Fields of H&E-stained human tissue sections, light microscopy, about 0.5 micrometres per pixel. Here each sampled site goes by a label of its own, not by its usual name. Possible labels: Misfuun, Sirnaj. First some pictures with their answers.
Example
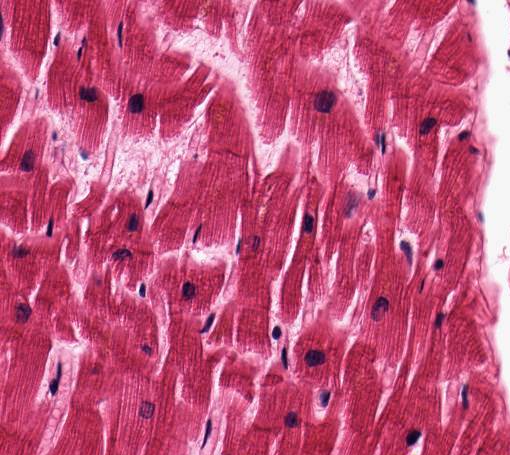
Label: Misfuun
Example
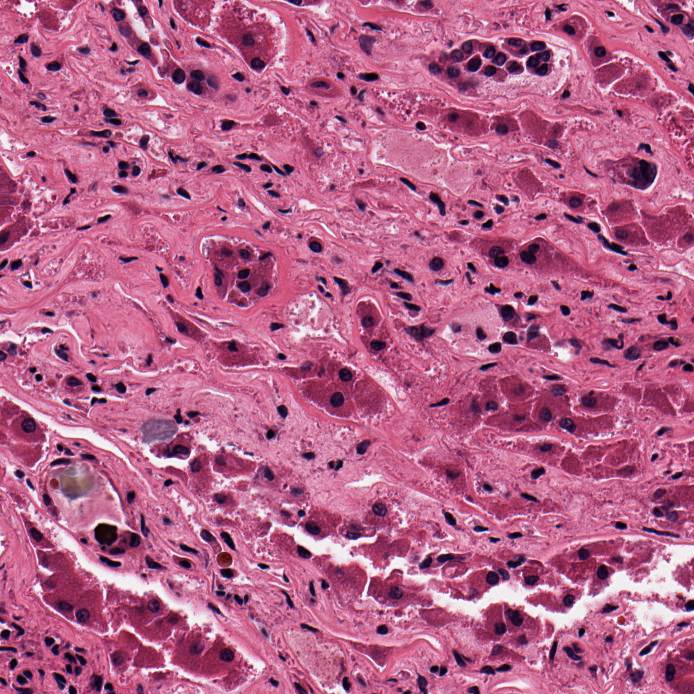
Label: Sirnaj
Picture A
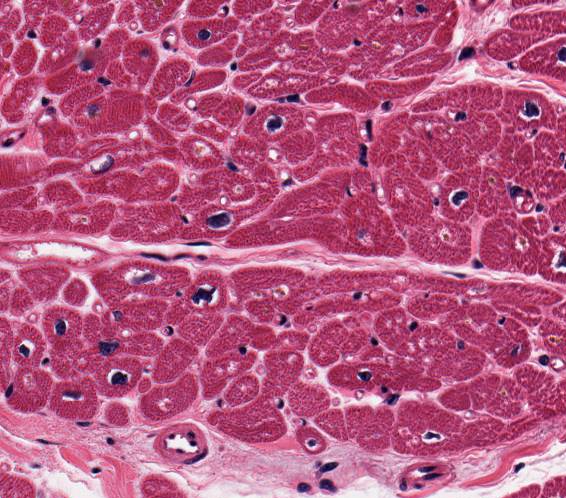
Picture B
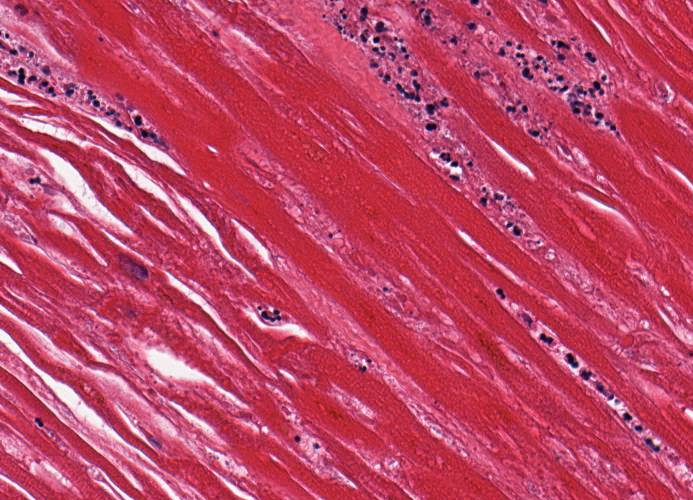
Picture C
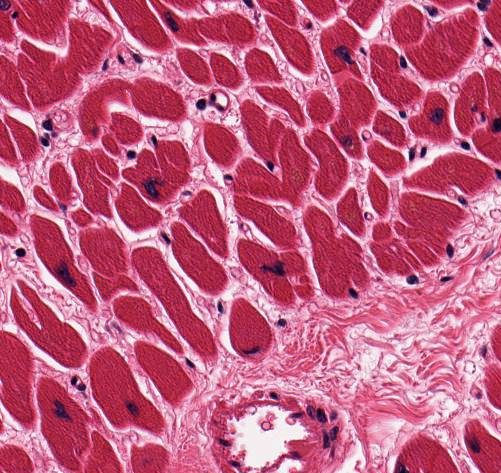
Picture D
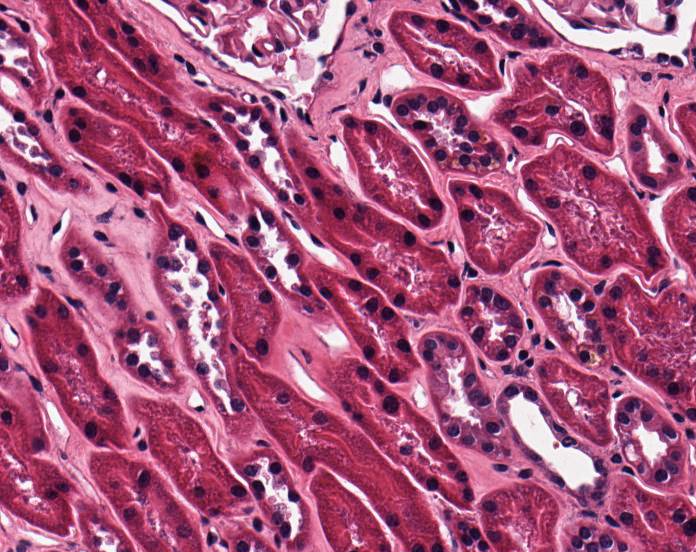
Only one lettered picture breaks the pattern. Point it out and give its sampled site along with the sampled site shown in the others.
D differs and shows Sirnaj; the others show Misfuun.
